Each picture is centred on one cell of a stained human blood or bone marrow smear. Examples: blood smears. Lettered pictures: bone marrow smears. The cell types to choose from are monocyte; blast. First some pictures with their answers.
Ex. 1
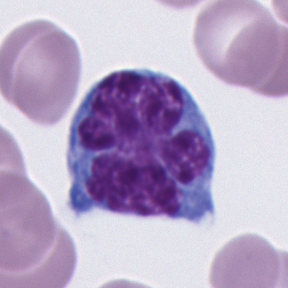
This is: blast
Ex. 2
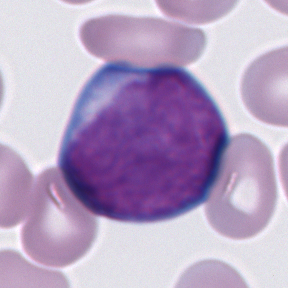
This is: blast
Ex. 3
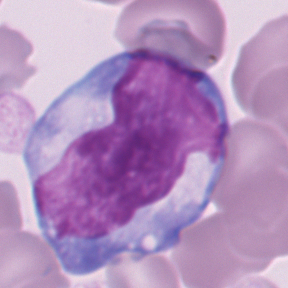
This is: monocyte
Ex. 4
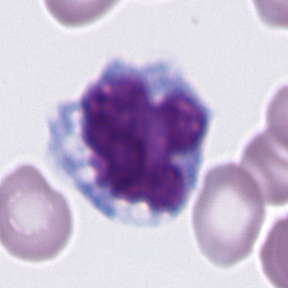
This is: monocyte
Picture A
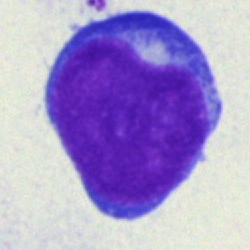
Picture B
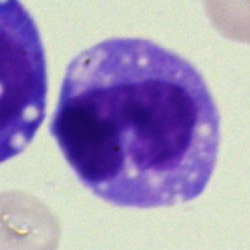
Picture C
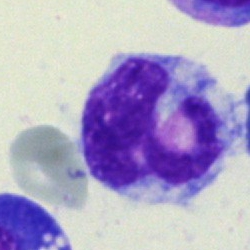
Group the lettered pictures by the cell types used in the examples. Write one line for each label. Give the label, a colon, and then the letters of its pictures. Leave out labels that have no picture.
monocyte: B, C
blast: A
